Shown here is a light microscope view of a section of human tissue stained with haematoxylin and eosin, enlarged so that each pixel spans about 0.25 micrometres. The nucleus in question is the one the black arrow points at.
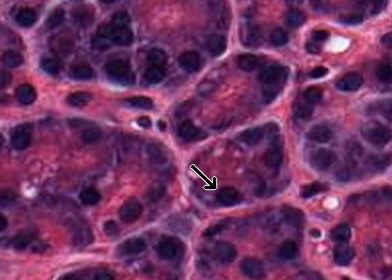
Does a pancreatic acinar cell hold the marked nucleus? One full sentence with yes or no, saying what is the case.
Yes, a pancreatic acinar cell is the cell that the marked nucleus belongs to.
